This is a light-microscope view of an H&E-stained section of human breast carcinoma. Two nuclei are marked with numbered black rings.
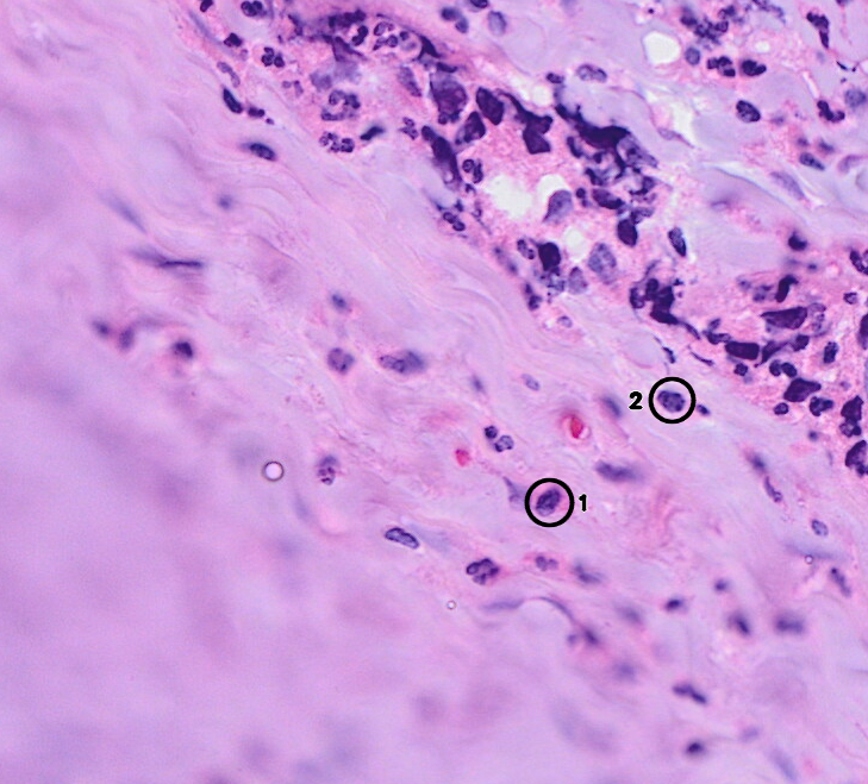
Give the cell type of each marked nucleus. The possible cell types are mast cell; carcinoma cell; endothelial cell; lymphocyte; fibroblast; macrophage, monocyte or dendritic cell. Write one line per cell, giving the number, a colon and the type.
1: mast cell
2: lymphocyte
